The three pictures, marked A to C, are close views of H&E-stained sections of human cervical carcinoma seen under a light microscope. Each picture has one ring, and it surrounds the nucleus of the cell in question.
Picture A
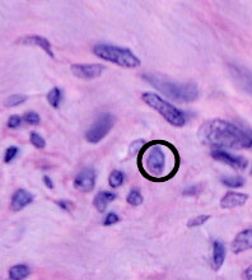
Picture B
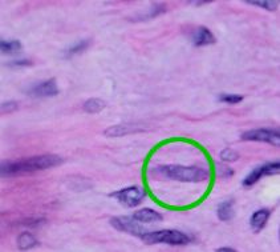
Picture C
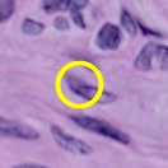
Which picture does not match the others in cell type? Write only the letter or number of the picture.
C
